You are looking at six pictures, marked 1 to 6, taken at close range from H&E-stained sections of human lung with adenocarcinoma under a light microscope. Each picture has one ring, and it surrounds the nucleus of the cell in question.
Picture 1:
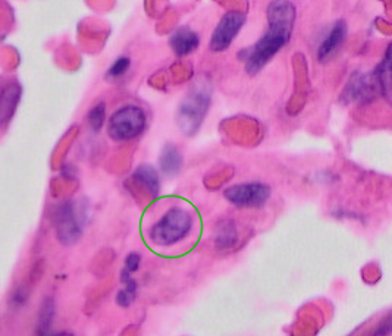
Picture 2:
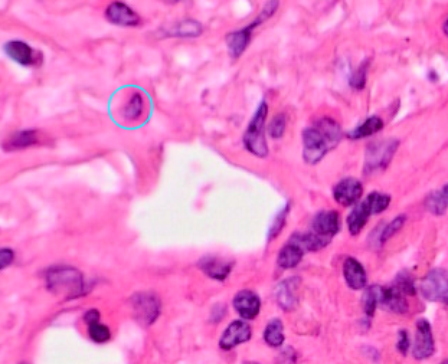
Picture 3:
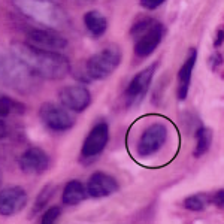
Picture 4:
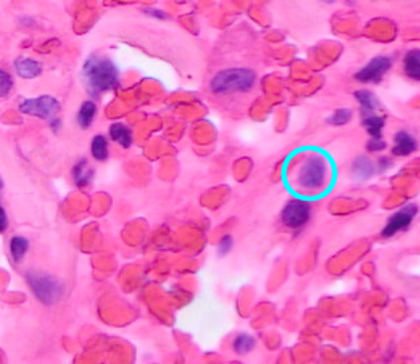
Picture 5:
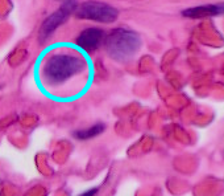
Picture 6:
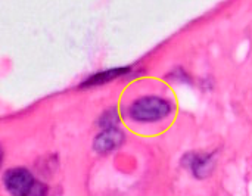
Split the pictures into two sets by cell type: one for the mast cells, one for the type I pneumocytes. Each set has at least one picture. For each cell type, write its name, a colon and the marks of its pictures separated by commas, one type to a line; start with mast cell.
mast cell: 2, 3, 6
type I pneumocyte: 1, 4, 5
